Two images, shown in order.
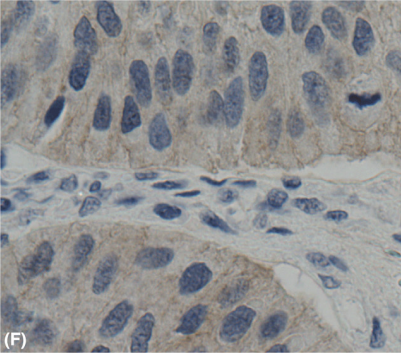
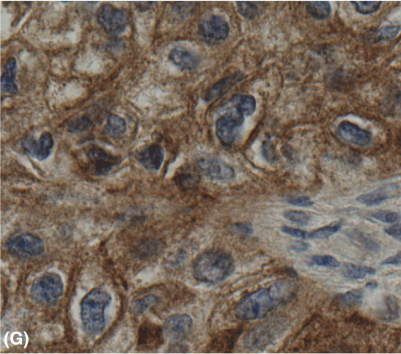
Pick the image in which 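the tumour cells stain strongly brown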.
The second image.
